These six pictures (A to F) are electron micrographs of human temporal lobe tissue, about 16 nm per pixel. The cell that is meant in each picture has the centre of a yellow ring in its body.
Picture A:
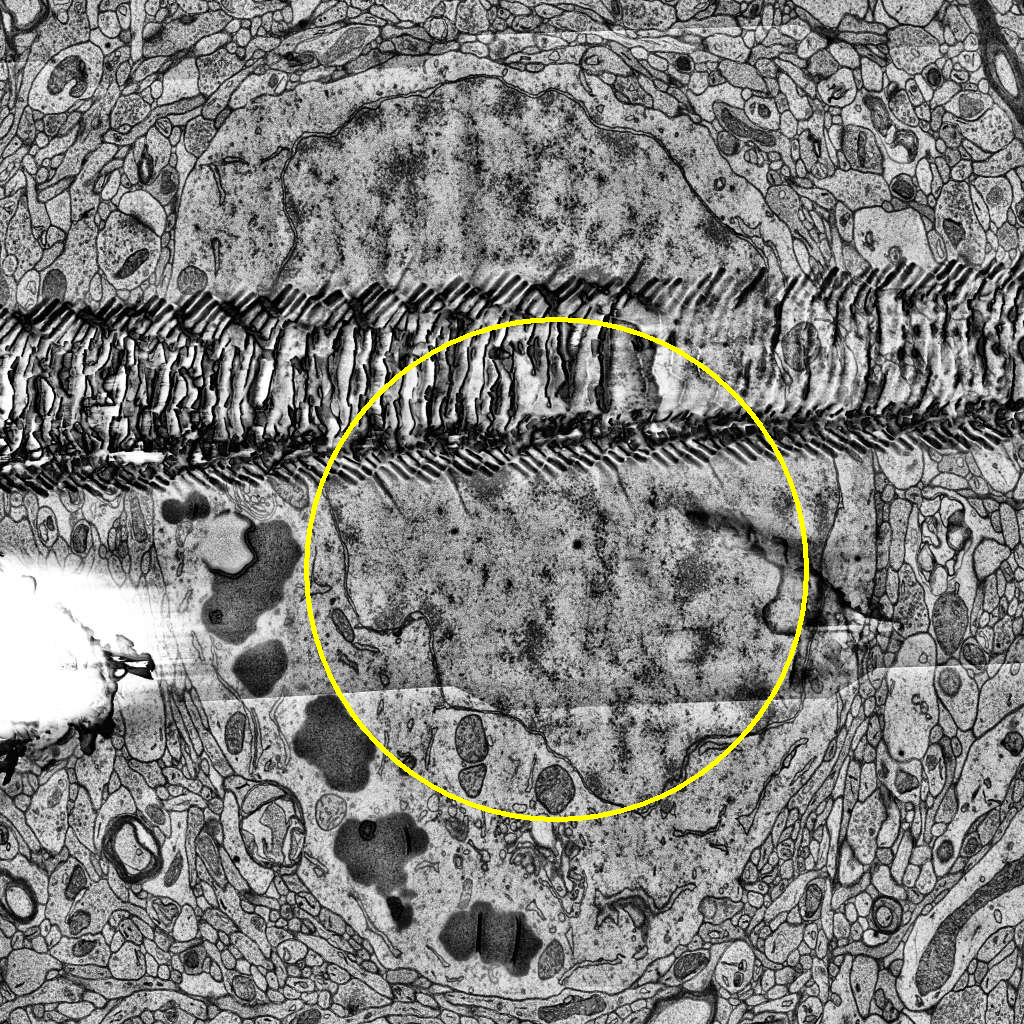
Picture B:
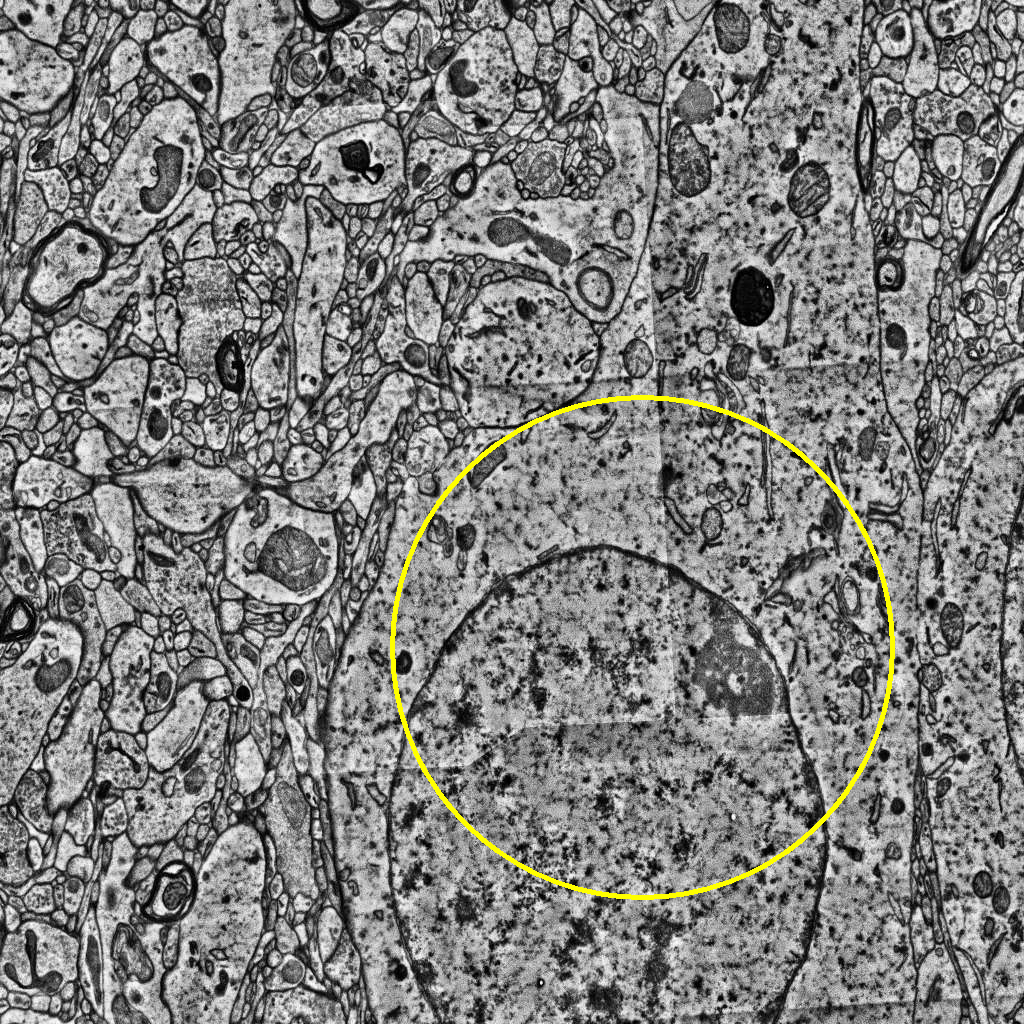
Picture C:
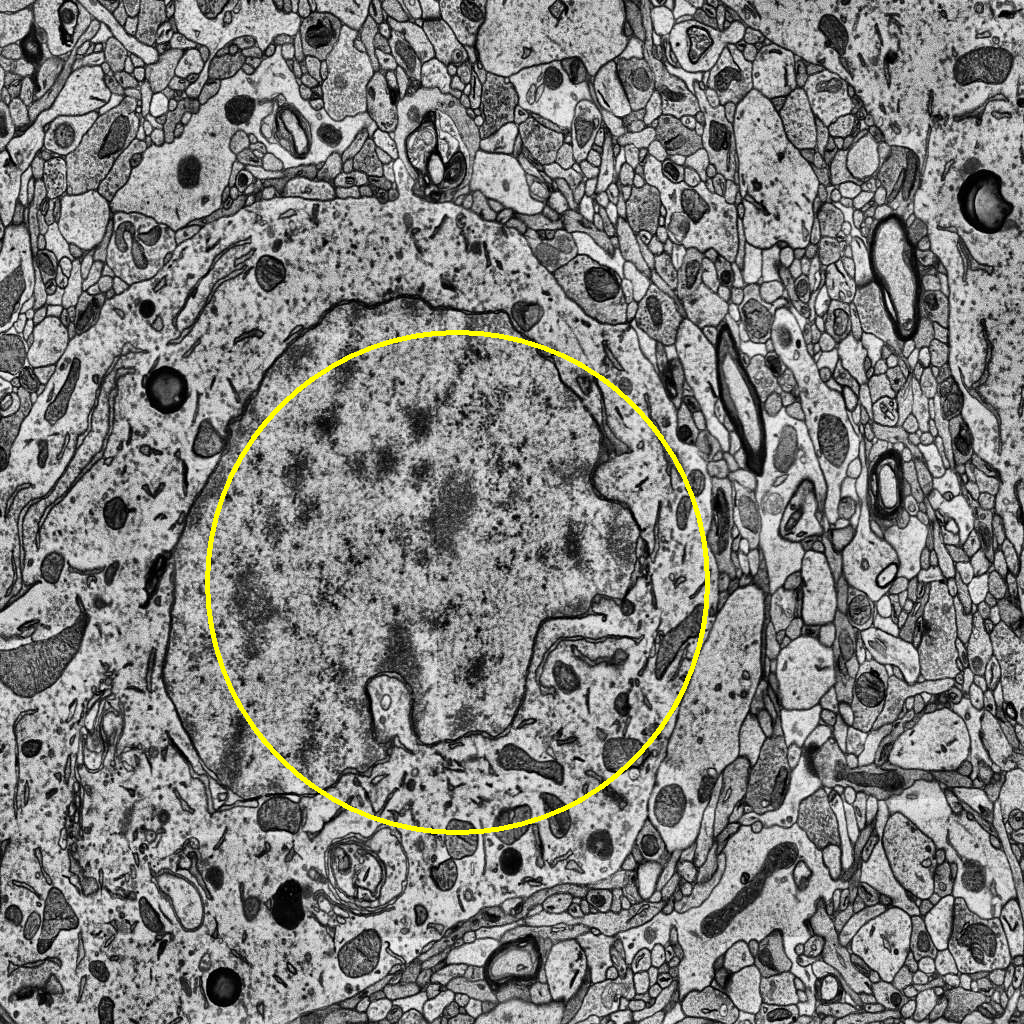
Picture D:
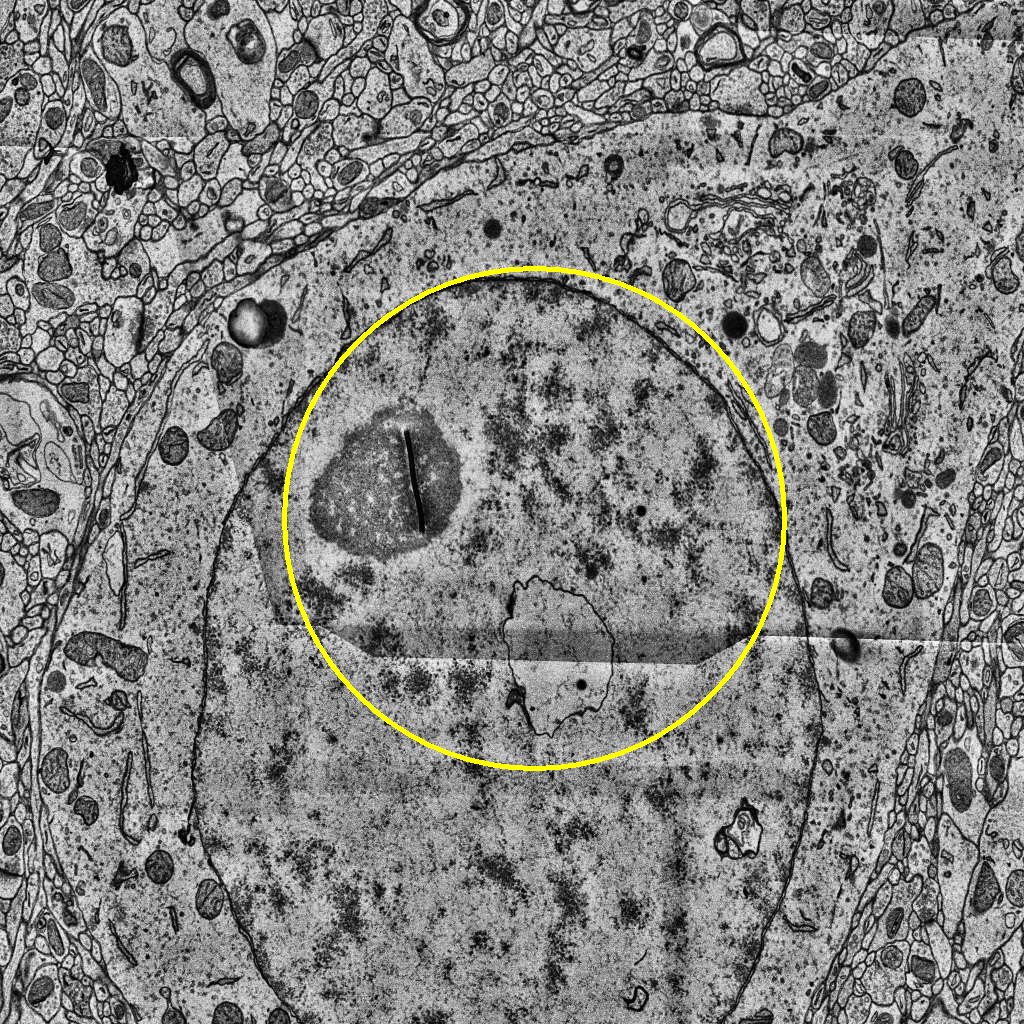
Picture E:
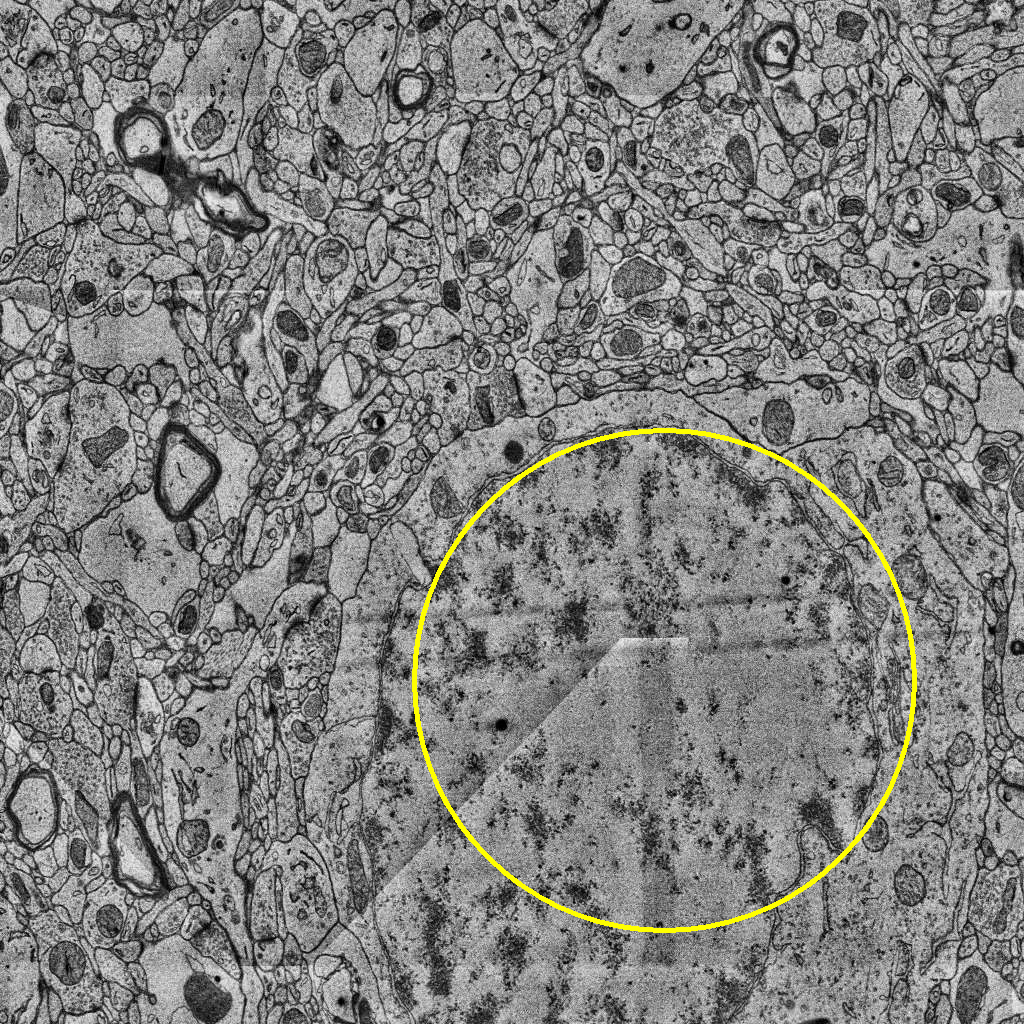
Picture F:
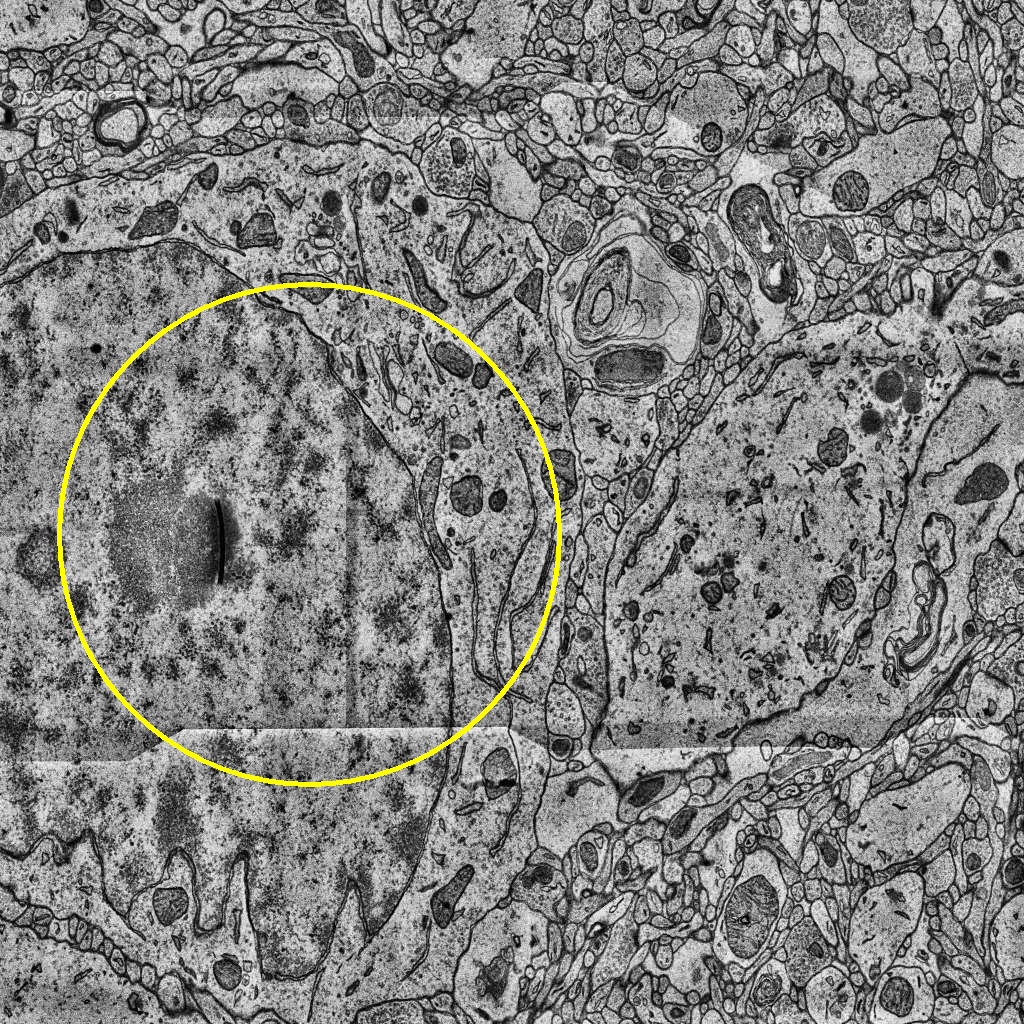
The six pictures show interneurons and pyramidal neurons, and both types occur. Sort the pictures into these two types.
Pictures A, C, E and F show interneurons, while pictures B and D show pyramidal neurons.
